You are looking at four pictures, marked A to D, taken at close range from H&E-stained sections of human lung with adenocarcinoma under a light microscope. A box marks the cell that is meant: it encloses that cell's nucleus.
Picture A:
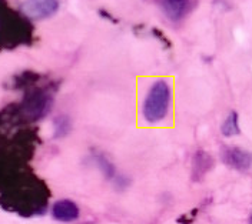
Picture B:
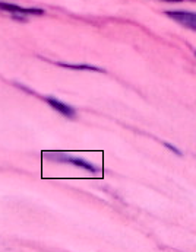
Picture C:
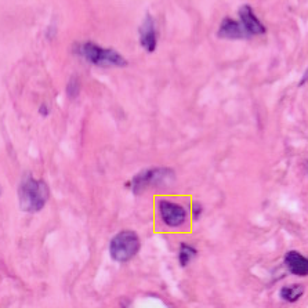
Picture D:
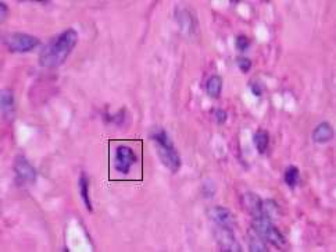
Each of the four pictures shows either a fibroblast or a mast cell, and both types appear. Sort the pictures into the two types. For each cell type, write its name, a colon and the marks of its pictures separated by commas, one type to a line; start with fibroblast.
fibroblast: B
mast cell: A, C, D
